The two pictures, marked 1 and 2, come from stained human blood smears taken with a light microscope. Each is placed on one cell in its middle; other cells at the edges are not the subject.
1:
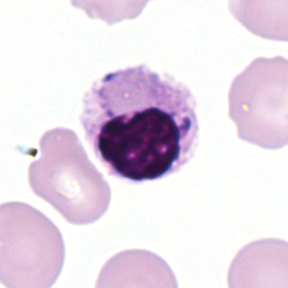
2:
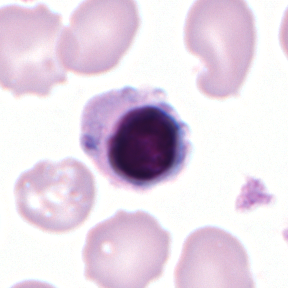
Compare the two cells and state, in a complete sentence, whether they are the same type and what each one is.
Yes, the crops both have erythroblasts in the middle.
